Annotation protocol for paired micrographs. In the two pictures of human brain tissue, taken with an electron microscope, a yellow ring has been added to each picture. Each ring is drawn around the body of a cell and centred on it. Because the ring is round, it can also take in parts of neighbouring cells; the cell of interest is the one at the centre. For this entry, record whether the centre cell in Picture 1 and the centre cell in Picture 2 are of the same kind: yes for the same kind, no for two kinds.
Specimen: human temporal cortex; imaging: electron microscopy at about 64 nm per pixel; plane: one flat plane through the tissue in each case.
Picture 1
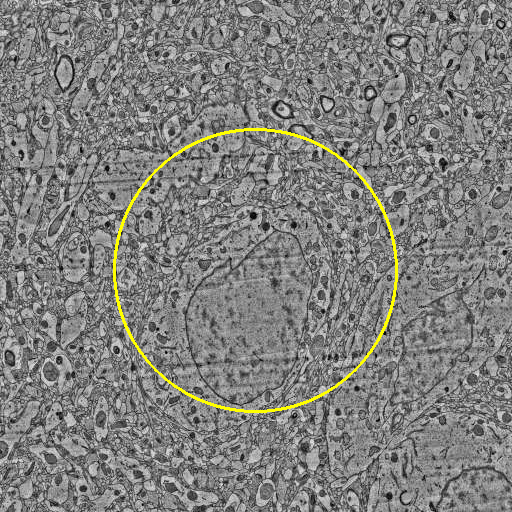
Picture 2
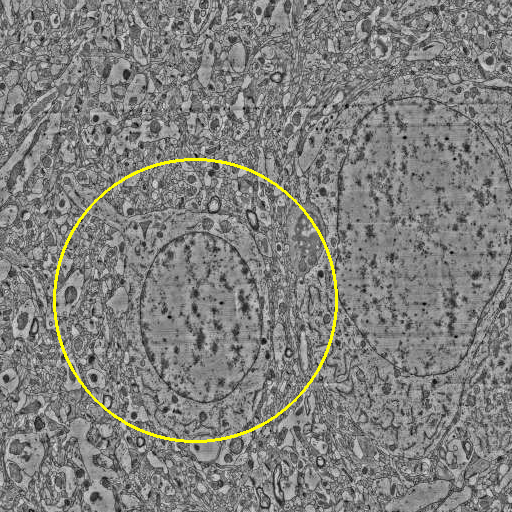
yes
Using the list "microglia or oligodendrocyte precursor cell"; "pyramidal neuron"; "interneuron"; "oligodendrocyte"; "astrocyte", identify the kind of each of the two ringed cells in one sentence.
Each cell, in the first picture and the second, is a pyramidal neuron.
